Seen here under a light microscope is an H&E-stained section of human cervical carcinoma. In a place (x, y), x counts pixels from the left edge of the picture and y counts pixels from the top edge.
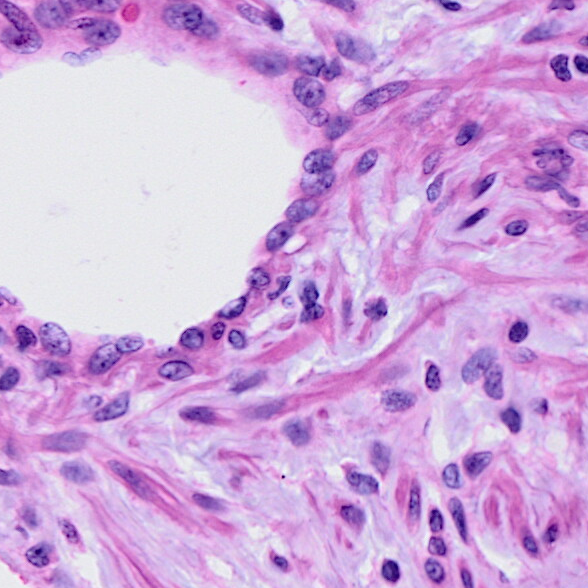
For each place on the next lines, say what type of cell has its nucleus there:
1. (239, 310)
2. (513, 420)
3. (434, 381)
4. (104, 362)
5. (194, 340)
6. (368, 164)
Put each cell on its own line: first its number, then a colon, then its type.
1: endothelial cell
2: lymphocyte
3: lymphocyte
4: endothelial cell
5: endothelial cell
6: smooth muscle cell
